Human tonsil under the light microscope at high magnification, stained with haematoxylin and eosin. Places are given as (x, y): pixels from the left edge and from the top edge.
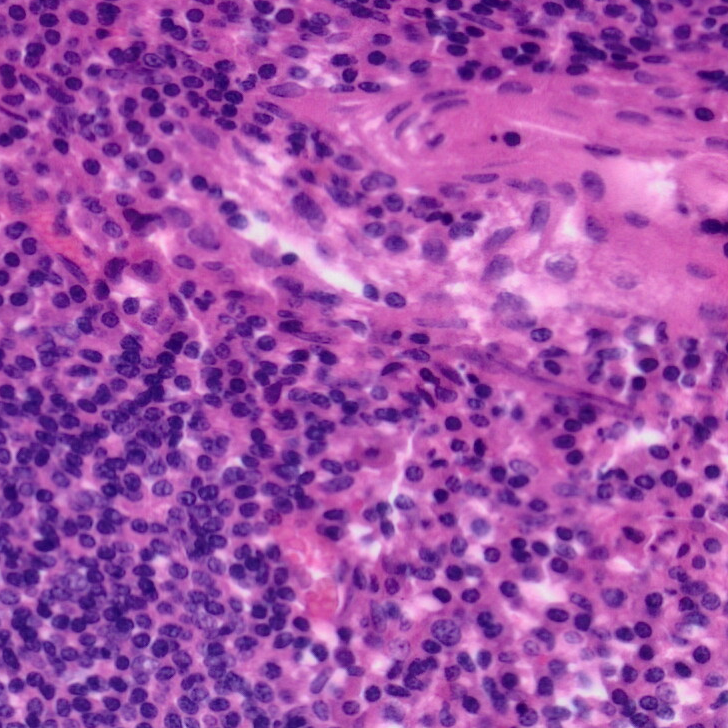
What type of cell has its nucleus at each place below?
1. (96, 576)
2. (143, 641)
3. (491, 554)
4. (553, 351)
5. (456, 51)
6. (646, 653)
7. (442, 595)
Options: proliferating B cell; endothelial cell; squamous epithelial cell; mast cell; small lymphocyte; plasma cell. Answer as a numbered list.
1. small lymphocyte
2. small lymphocyte
3. plasma cell
4. squamous epithelial cell
5. plasma cell
6. plasma cell
7. plasma cell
